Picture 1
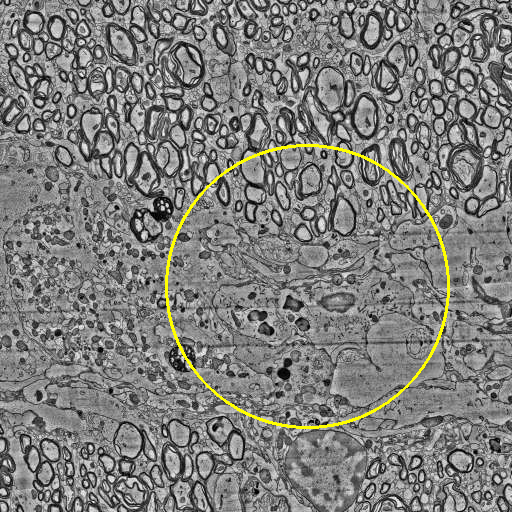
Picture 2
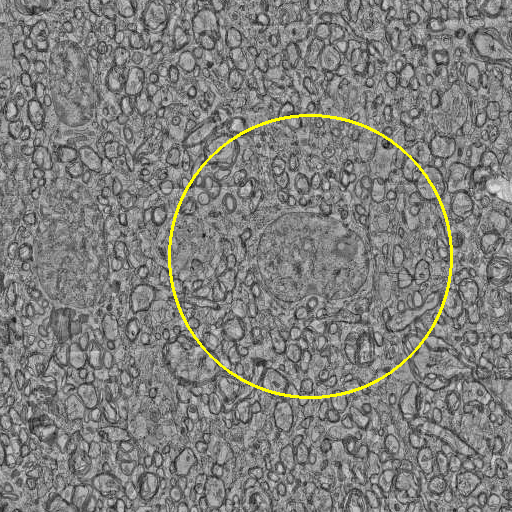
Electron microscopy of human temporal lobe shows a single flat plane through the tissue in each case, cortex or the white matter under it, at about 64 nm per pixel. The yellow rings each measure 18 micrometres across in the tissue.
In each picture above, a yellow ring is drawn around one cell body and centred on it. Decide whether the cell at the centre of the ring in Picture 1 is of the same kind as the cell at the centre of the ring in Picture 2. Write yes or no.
yes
